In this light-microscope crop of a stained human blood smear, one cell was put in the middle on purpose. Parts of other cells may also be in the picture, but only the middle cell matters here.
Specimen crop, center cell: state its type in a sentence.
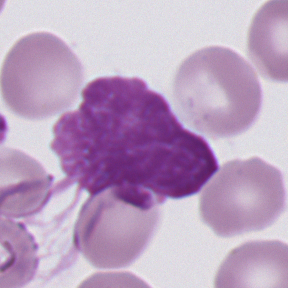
Here the centrally located cell is a smudge cell.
